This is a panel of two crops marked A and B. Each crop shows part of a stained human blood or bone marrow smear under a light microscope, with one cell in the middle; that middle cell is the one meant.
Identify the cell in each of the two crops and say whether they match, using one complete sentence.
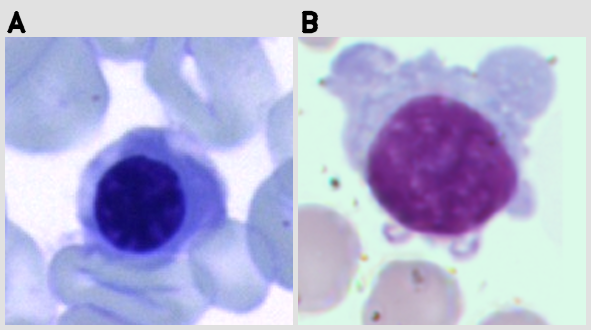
No, the correct reading is an erythroblast in crop A and a plasma cell in crop B.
